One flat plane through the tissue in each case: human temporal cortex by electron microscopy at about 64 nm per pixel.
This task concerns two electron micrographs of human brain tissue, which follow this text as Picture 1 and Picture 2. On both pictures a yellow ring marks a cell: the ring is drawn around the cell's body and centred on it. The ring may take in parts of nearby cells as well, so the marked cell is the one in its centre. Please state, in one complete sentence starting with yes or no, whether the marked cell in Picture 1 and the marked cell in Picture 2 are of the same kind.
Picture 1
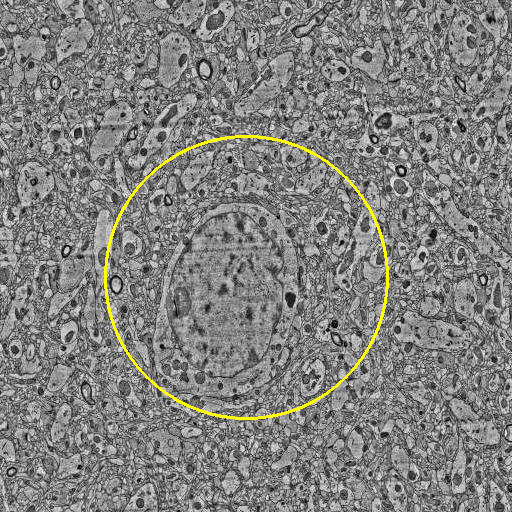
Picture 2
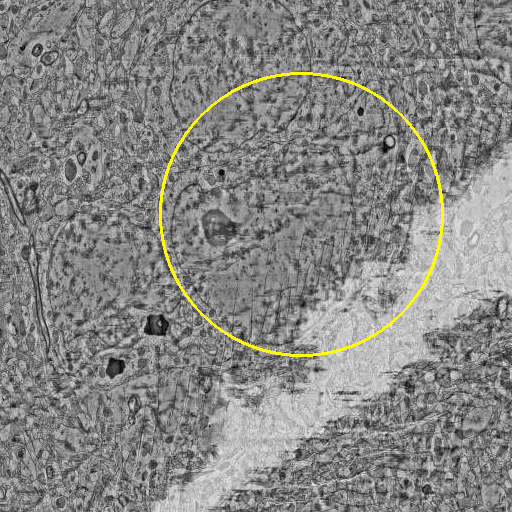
No, the marked cells in the two pictures are of two kinds.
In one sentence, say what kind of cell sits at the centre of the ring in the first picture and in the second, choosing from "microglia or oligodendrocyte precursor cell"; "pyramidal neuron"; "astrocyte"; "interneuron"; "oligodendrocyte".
The first picture's ringed cell is an interneuron, while the second picture's is a pyramidal neuron.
